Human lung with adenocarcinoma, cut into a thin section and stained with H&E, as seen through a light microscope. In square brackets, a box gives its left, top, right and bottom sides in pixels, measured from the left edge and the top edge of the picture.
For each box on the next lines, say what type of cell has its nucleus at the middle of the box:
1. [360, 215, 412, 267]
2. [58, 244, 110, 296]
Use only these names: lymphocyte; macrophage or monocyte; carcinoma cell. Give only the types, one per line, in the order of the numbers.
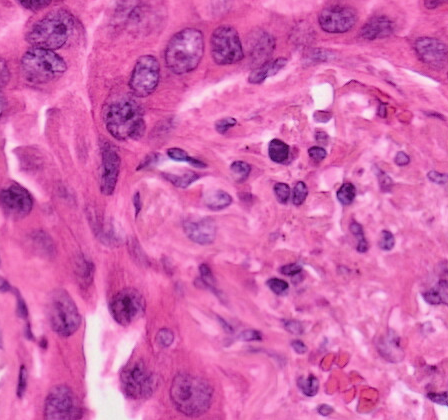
lymphocyte
carcinoma cell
